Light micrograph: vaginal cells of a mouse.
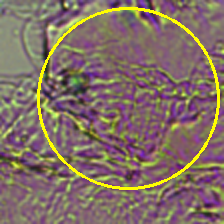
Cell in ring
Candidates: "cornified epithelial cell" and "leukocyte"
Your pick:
cornified epithelial cell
